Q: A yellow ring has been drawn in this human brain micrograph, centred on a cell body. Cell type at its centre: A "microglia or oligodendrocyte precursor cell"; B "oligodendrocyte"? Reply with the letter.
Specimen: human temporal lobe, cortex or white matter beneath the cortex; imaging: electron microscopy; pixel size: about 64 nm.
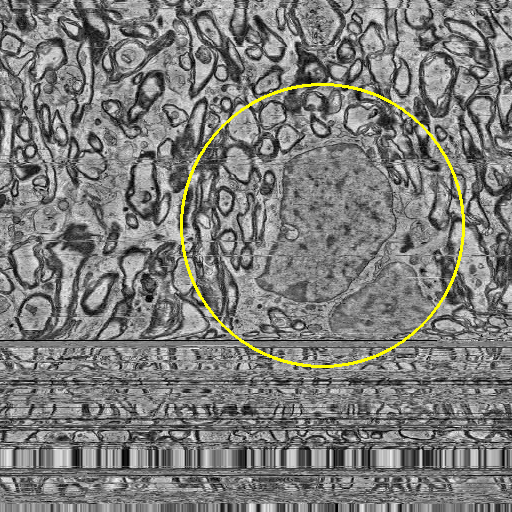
A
